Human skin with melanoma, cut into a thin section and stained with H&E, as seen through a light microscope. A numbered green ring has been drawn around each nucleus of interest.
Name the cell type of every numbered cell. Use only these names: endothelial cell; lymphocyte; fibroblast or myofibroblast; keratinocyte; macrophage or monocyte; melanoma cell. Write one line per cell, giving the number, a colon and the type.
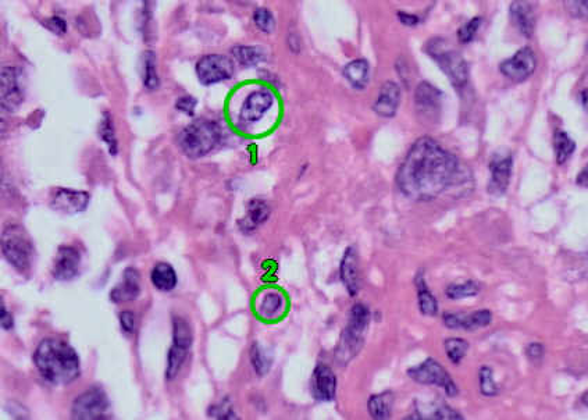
1: melanoma cell
2: macrophage or monocyte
